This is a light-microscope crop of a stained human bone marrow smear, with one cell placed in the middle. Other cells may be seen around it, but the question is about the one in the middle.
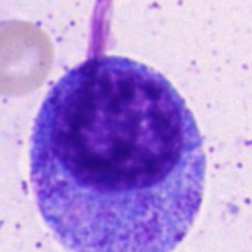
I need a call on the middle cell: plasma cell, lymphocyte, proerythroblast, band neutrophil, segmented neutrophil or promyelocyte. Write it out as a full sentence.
As for the central cell, it is a promyelocyte.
